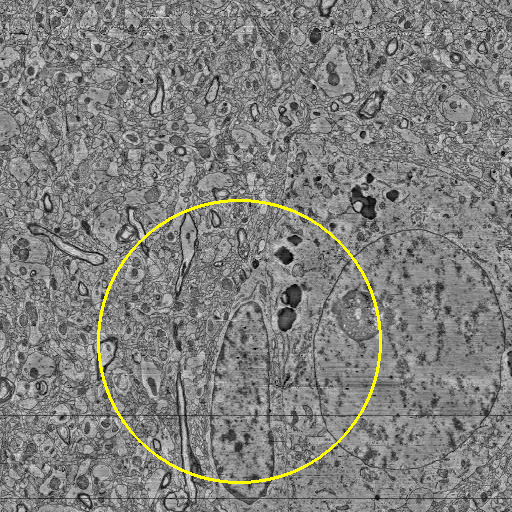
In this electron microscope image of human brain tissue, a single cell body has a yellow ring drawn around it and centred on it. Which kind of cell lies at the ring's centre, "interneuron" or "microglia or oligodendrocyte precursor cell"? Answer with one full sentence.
It is a microglial cell or oligodendrocyte precursor cell whose cell body lies at the centre of the yellow ring here.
